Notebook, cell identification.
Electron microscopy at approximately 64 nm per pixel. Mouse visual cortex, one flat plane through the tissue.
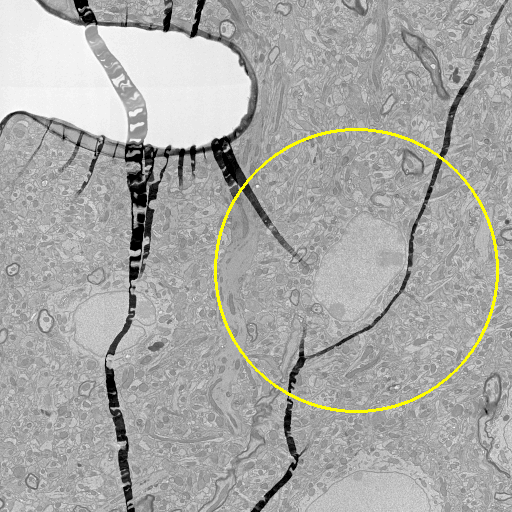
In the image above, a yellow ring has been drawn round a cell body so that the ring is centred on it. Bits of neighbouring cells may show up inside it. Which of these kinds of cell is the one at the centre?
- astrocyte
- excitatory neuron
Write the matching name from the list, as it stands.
astrocyte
